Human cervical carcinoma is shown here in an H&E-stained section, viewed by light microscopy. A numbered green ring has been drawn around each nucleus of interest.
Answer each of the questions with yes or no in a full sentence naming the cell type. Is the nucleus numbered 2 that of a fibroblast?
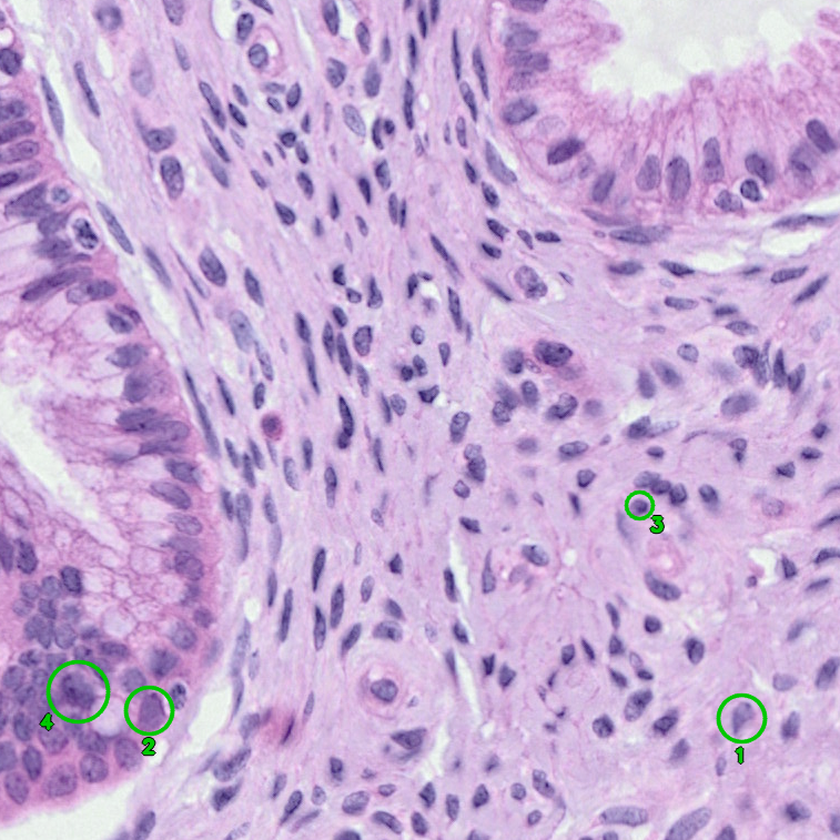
No, number 2 does not mark a fibroblast; it marks a secretory epithelial cell.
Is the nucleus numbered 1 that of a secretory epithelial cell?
No, number 1 is not a secretory epithelial cell but a fibroblast.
